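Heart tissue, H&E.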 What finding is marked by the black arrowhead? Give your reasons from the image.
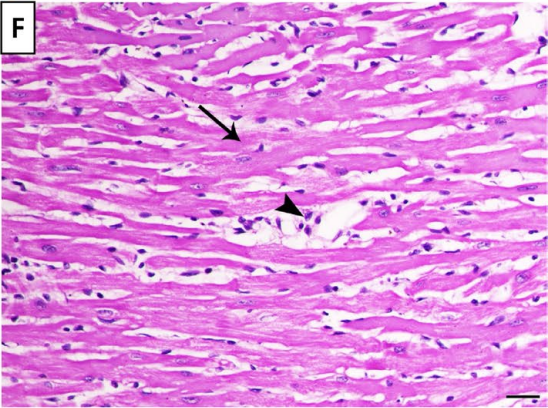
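A small group of dark round nuclei lies in a clear space between fibres. The answer: interstitial mononuclear inflammatory cells infiltration.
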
